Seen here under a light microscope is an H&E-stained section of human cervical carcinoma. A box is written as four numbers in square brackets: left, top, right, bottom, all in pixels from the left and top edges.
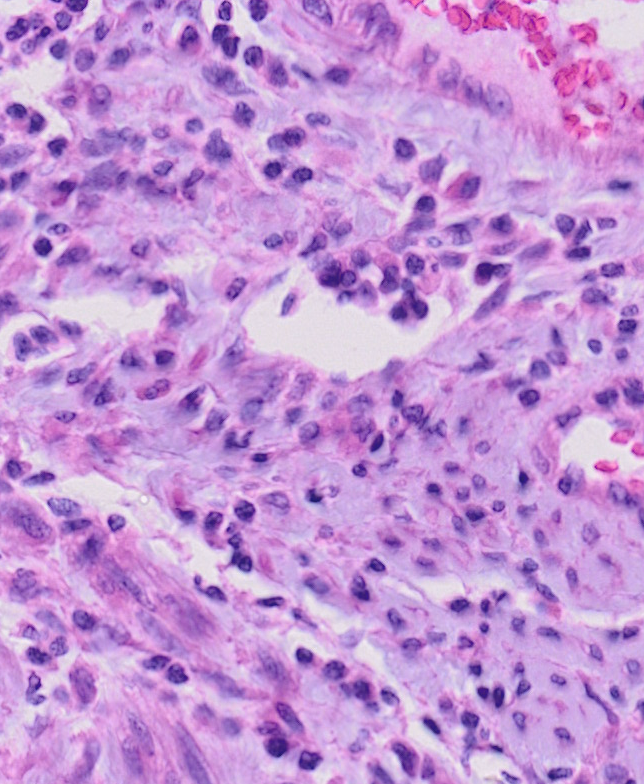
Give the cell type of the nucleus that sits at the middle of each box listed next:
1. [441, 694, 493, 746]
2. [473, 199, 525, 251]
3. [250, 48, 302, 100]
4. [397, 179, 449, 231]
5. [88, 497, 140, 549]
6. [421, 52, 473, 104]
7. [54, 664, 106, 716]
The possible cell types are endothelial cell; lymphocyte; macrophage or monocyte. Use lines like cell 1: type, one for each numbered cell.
cell 1: lymphocyte
cell 2: lymphocyte
cell 3: macrophage or monocyte
cell 4: lymphocyte
cell 5: lymphocyte
cell 6: endothelial cell
cell 7: macrophage or monocyte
